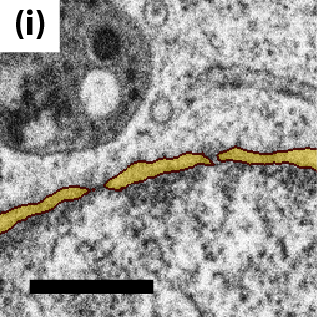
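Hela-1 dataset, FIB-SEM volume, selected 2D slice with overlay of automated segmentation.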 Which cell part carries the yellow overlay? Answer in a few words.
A: Nuclear envelope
